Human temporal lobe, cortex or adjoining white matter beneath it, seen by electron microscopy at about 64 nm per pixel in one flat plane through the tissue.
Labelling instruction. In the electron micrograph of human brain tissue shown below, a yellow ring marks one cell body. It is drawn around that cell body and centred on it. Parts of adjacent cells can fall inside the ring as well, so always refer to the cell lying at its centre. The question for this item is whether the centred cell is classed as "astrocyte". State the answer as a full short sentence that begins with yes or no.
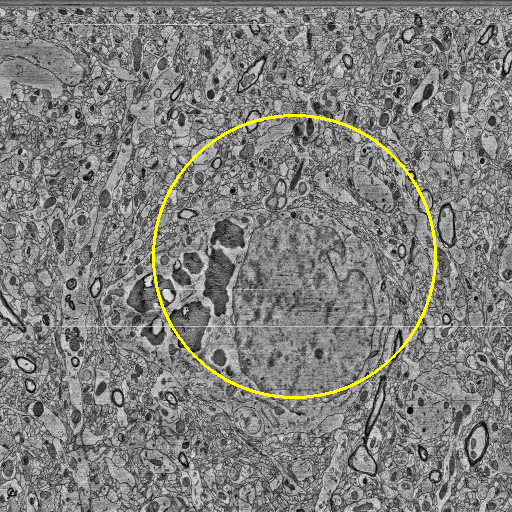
No, the centred cell belongs to another class.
